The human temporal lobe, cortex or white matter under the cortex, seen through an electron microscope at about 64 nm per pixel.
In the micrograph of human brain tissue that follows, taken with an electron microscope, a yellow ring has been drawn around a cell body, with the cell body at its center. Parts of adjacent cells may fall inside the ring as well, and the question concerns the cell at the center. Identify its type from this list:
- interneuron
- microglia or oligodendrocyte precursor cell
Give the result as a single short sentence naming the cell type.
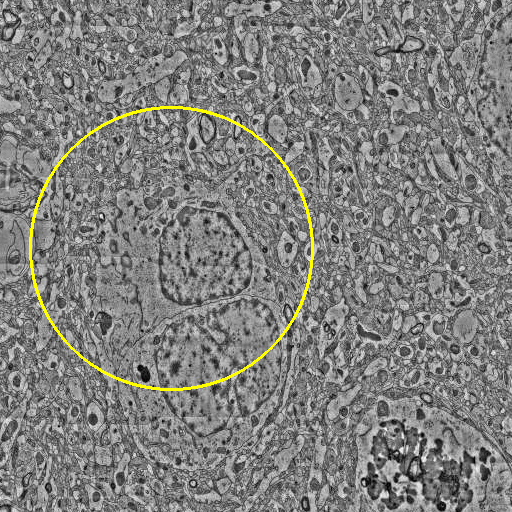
The ring is centered on a microglial cell or oligodendrocyte precursor cell.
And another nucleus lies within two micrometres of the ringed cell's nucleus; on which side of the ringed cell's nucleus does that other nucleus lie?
The second nucleus sits to the lower right of it.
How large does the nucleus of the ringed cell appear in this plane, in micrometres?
The nucleus is approximately 6 micrometers across in this plane.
